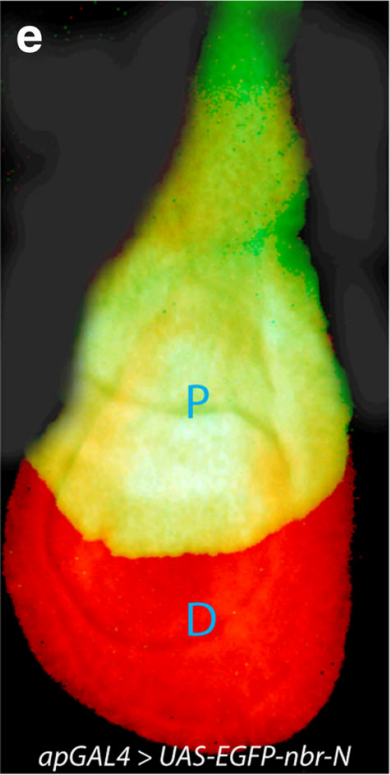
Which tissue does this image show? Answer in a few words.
Wing discs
